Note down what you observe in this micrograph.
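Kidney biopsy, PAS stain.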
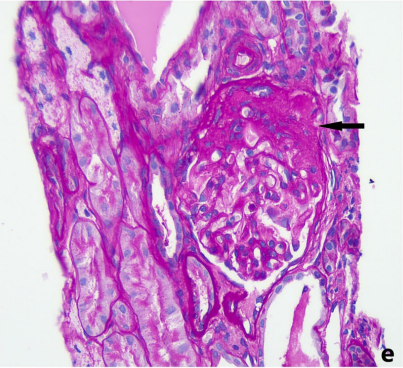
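A glomerulus lies among renal tubules in a section stained magenta and blue. One segment of the glomerular tuft, at its upper edge, is replaced by dense magenta material with few nuclei and no open capillary lumina. The remaining tuft shows lobules of capillary loops with scattered blue nuclei inside Bowman's space. Neighbouring tubules have magenta-outlined basement membranes and epithelial cells with pale cytoplasm.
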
